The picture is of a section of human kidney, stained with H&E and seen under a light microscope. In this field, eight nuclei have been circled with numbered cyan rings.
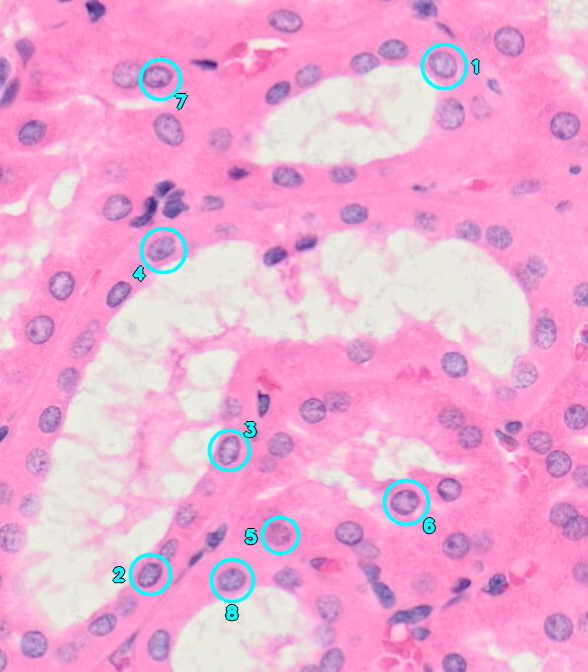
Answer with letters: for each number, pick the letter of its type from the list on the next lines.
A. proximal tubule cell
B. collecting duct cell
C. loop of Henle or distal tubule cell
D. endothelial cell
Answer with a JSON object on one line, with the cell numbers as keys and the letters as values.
{"1": "C", "2": "C", "3": "C", "4": "C", "5": "A", "6": "A", "7": "A", "8": "C"}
